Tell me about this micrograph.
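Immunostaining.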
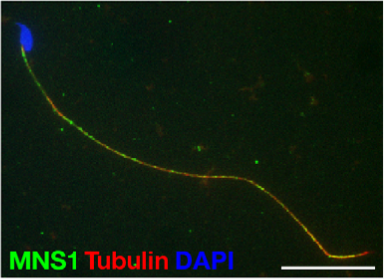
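A single sperm cell lies across a dark field. Its head is a small, compact, blue-stained body at the upper left. From the head, a long, slender tail runs down and across the field in a gentle S-shaped curve, ending near the lower right. Where the two colours overlap, the tail appears yellow-orange. The green staining is somewhat dotted along the tail. A few scattered green specks lie in the background away from the cell.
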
